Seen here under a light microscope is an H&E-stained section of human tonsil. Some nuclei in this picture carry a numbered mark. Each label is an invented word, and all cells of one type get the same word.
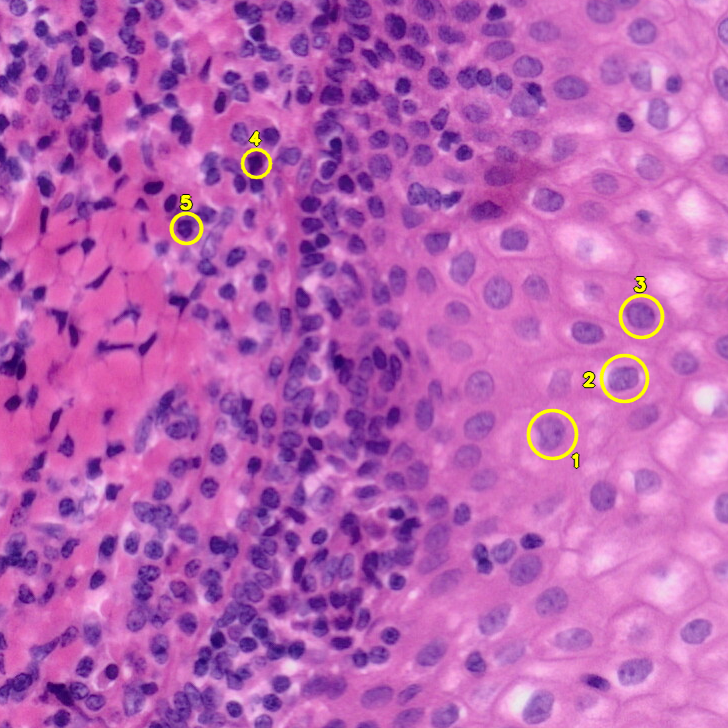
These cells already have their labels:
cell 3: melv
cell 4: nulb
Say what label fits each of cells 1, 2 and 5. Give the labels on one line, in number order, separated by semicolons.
melv; melv; nulb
